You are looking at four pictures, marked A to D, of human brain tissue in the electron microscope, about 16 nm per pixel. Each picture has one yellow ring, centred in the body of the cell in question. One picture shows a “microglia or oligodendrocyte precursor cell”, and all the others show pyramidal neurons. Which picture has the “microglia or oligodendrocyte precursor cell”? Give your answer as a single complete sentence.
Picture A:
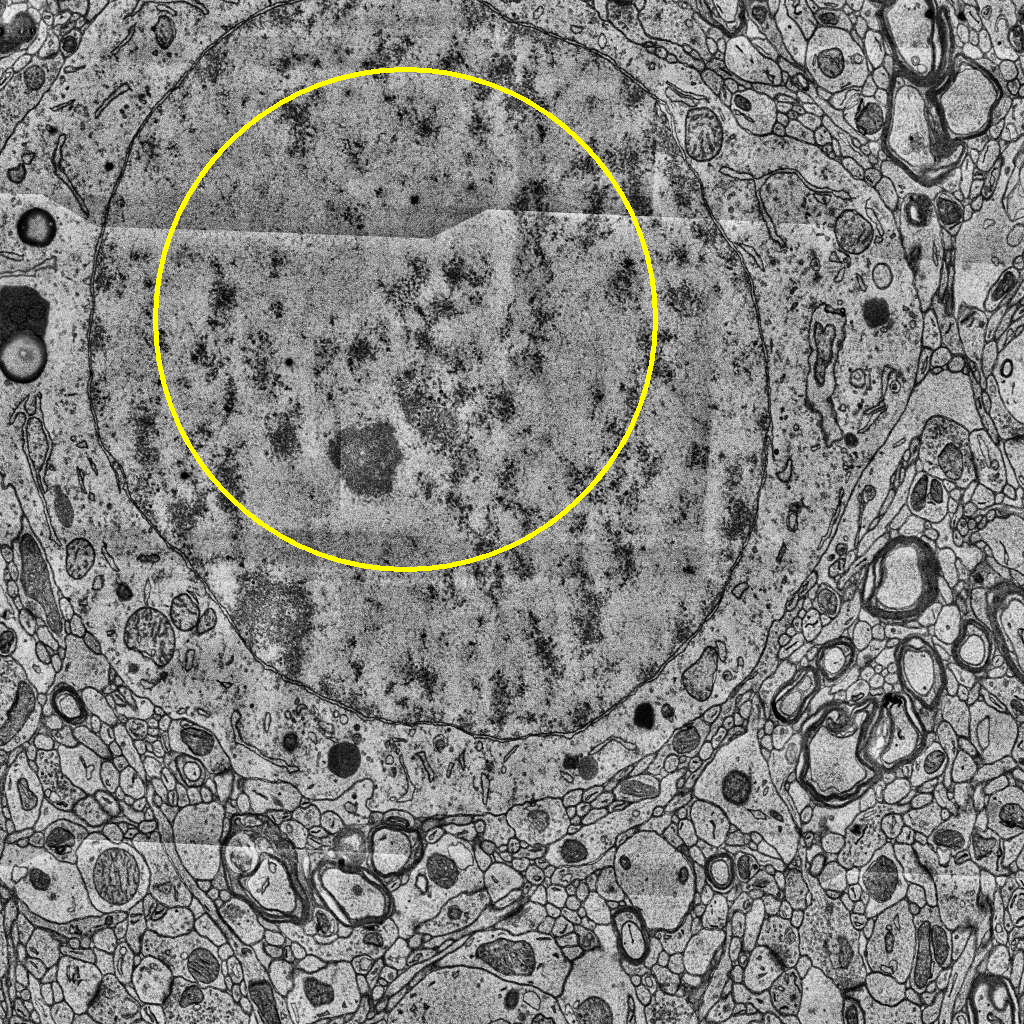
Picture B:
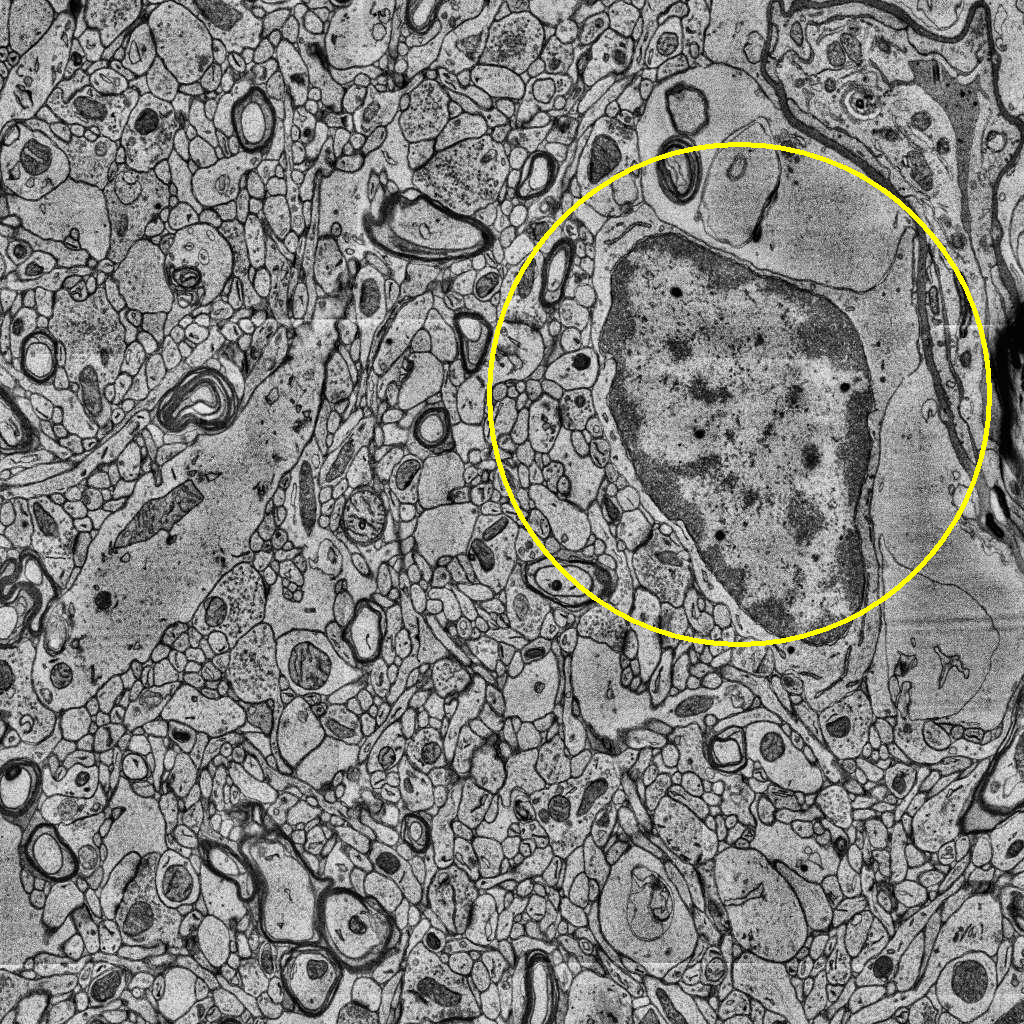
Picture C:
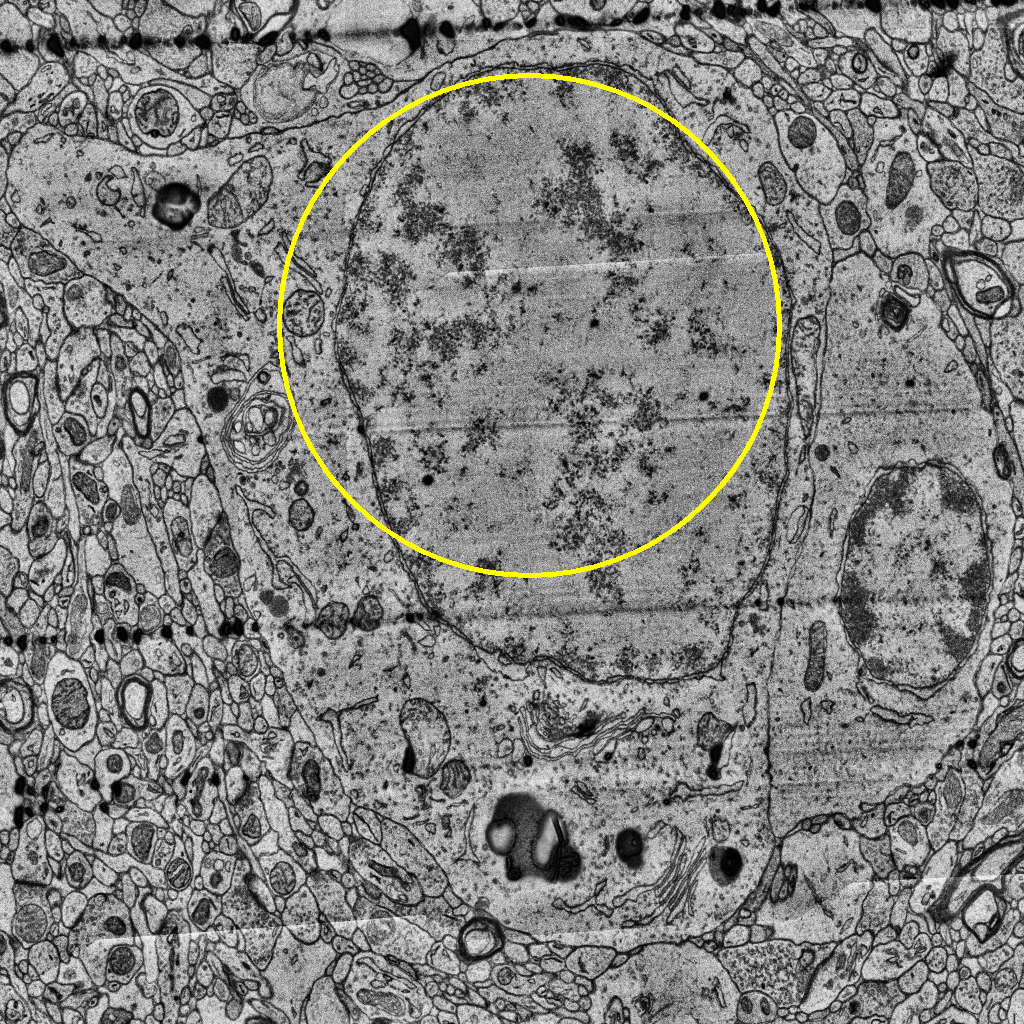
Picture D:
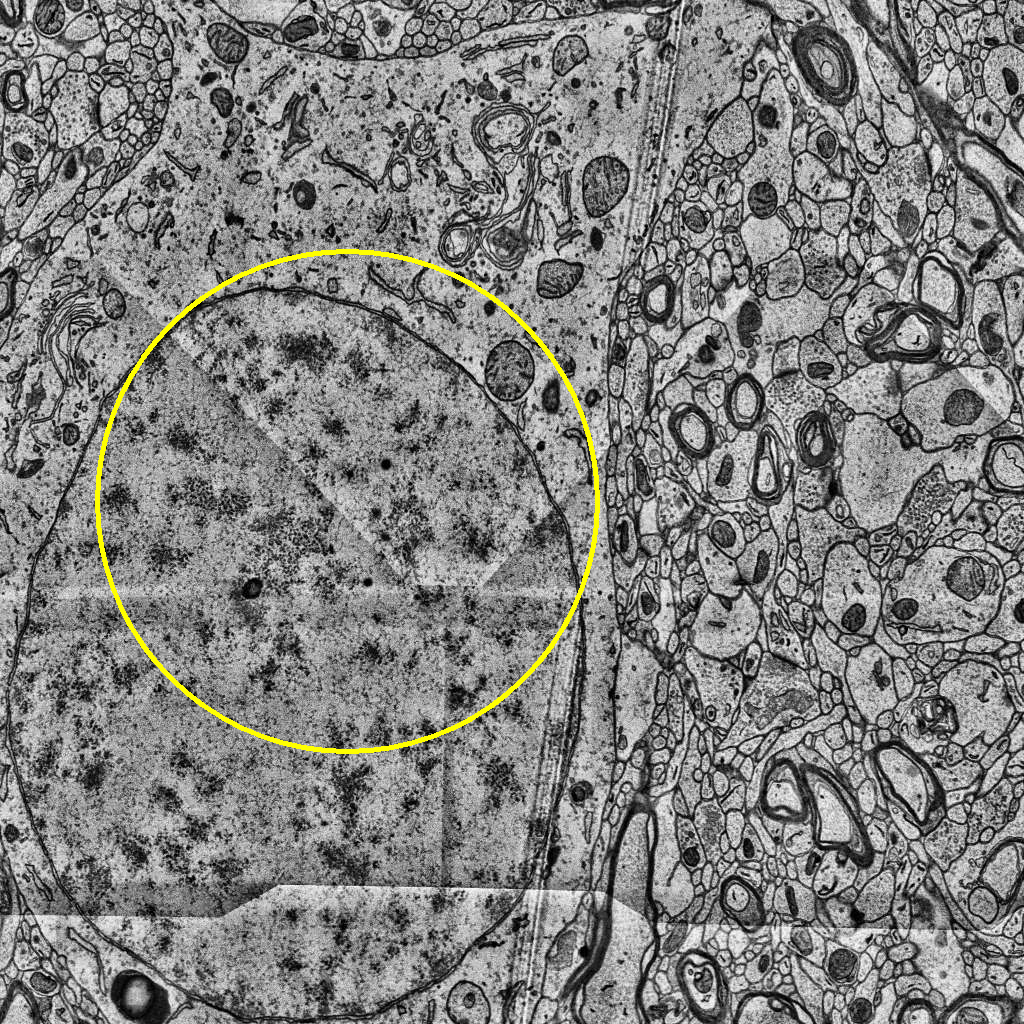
Picture B is the one that shows the “microglia or oligodendrocyte precursor cell”.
